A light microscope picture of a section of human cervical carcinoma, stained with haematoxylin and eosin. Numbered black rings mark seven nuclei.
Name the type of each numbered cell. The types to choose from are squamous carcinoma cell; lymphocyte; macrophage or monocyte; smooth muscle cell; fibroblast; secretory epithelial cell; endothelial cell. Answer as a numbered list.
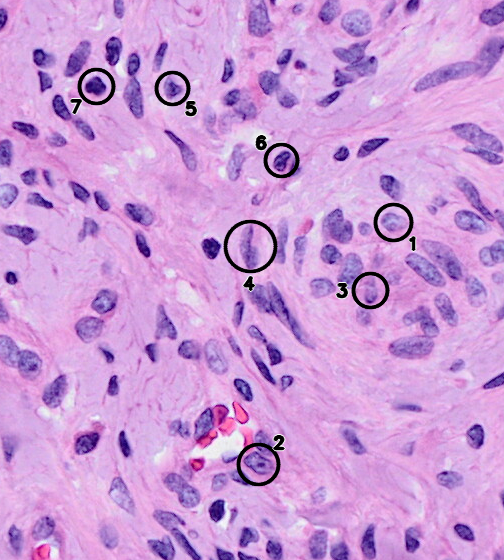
1. smooth muscle cell
2. endothelial cell
3. smooth muscle cell
4. fibroblast
5. fibroblast
6. lymphocyte
7. lymphocyte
